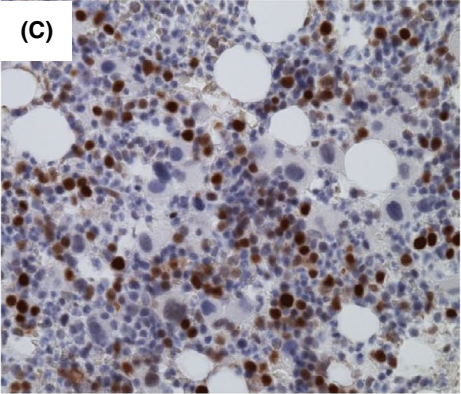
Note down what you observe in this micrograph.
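In this marrow many hematopoietic cells show a strong brown stain confined to their round nuclei. The stained nuclei are scattered densely through the cellular areas between the clear fat vacuoles, mixed with cells whose nuclei remain blue. The large cells with pale, abundant cytoplasm and big blue nuclei stay unstained. The cytoplasm around the brown nuclei shows little or no color, so the stain is nuclear.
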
